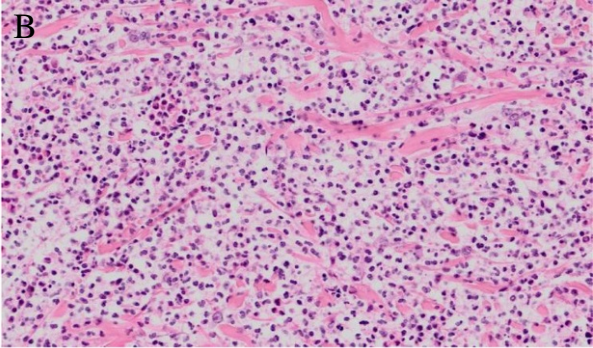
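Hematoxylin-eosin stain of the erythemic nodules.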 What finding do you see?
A: Dense dermal neutrophilic infiltrates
